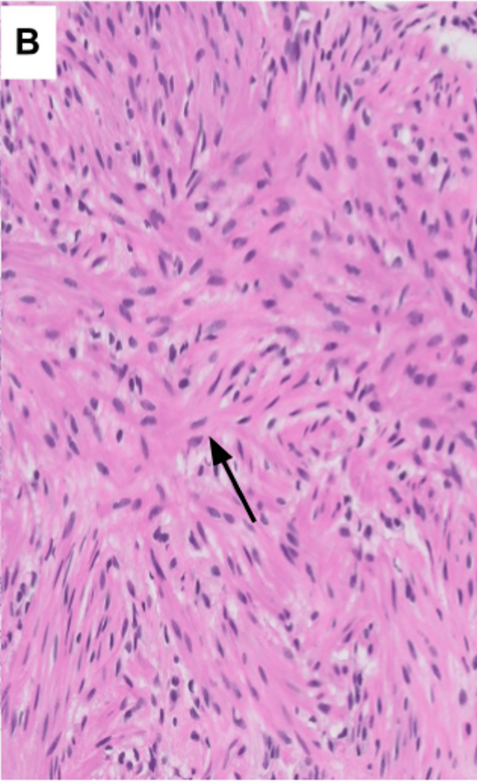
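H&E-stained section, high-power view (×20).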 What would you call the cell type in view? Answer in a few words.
Uniform (monomorphic) cells with narrow, elongated, and wavy tapered ends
